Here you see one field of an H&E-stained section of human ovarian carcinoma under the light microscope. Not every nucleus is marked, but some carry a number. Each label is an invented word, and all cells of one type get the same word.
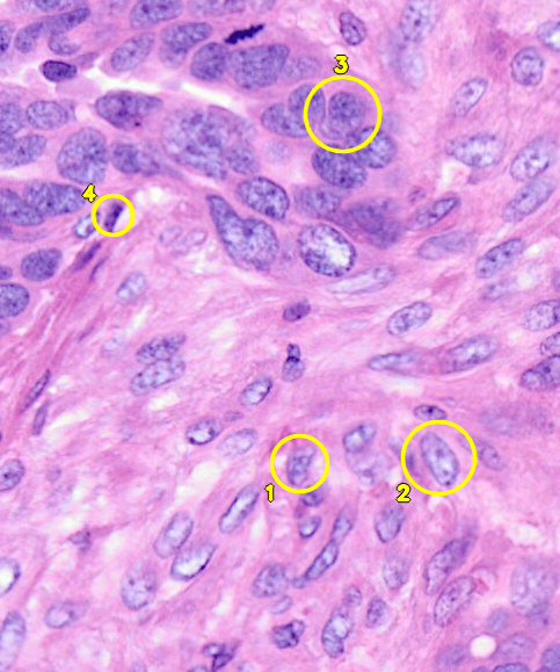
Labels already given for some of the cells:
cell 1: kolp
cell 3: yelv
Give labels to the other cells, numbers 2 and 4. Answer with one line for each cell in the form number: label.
2: kolp
4: kolp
